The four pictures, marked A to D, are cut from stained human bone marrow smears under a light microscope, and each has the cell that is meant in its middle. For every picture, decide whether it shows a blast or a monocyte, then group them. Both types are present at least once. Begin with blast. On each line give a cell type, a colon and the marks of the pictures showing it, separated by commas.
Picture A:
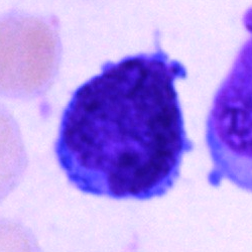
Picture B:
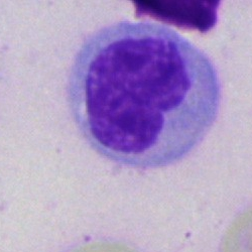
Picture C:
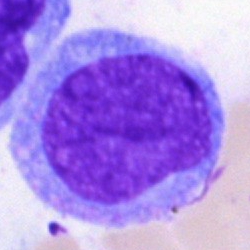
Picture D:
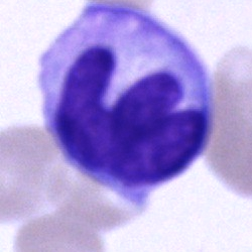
blast: A, C
monocyte: B, D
